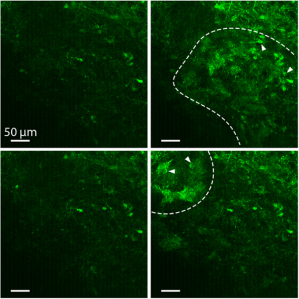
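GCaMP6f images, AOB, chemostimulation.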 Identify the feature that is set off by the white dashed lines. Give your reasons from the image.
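Dashed white lines enclose rounded patches in the right-hand images. The enclosed patches are brighter green than the surrounding field and than the same area in the left-hand images. So: Activated glomeruli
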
